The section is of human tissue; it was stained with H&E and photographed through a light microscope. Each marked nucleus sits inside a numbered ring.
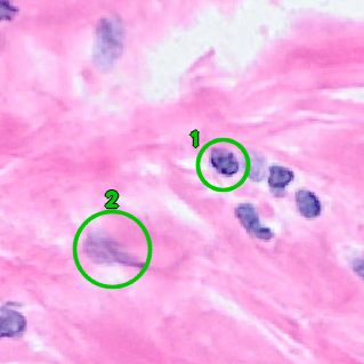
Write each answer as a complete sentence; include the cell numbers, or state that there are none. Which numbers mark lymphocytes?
Cell 1 is a lymphocyte, and it is the only numbered cell that is.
